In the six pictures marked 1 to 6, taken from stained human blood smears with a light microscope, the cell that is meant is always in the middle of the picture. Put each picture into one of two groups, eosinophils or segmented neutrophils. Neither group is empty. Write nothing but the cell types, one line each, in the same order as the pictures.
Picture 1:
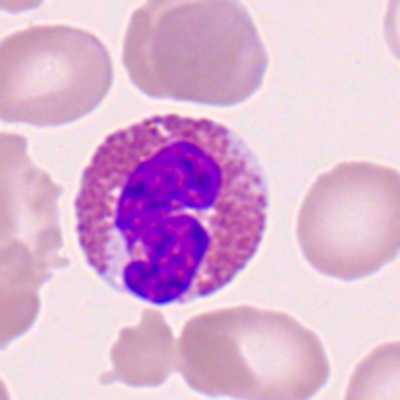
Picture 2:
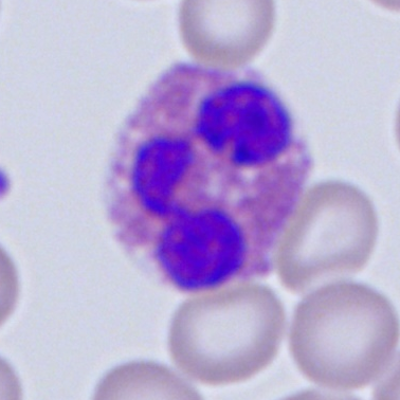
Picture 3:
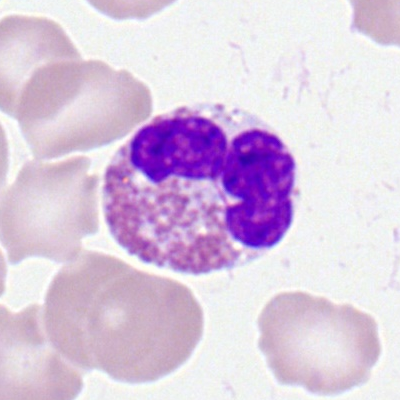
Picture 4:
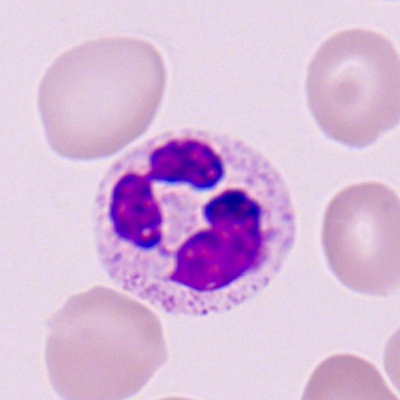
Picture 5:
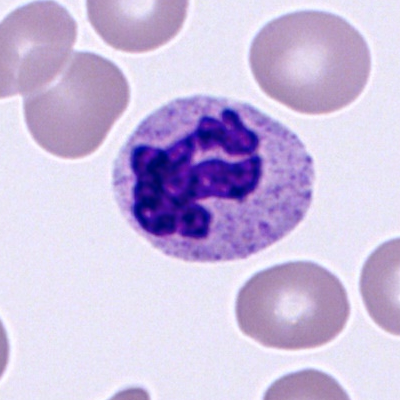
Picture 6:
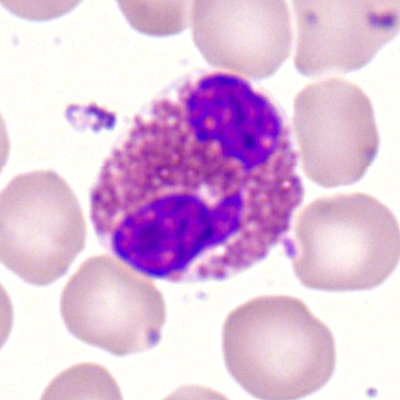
eosinophil
eosinophil
eosinophil
segmented neutrophil
segmented neutrophil
eosinophil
